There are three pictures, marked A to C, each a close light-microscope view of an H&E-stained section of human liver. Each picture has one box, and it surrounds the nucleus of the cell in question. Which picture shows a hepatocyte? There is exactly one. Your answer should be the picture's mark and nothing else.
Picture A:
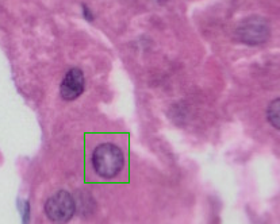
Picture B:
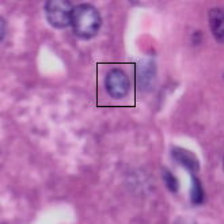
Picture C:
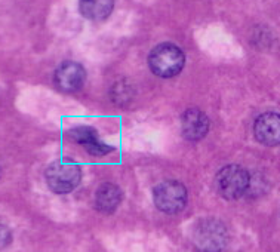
A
